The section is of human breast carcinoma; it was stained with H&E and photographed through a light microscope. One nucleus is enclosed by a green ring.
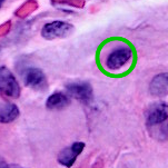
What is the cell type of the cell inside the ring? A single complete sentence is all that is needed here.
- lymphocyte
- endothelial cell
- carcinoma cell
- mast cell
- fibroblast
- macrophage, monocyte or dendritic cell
In the context of this tissue, the cell inside the ring is a mast cell.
